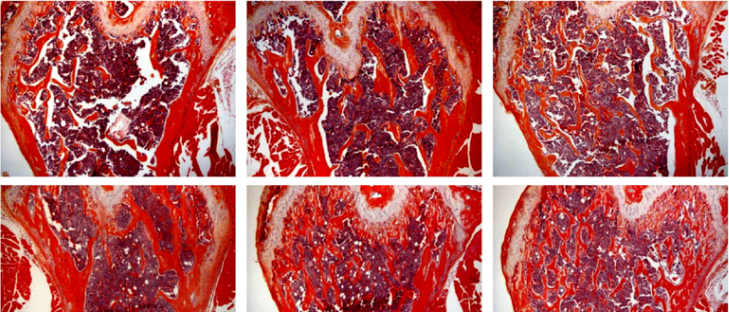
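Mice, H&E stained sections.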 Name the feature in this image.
Trabecular bone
